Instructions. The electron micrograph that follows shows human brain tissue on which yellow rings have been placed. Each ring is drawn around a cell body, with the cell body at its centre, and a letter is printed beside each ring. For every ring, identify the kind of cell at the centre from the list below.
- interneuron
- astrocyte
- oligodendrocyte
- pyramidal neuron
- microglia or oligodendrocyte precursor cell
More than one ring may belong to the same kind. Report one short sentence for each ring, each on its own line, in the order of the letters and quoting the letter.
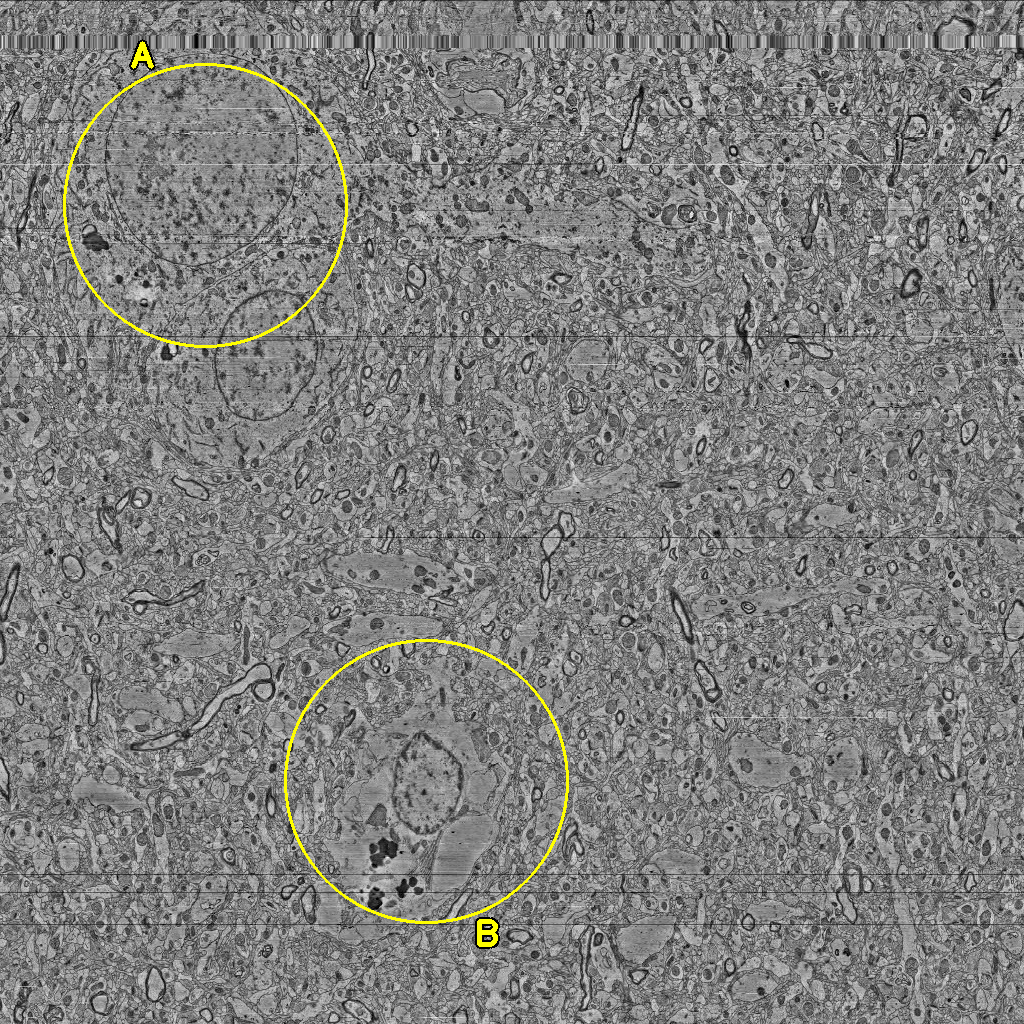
The centre of ring A is occupied by a pyramidal neuron.
The centre of ring B is occupied by an astrocyte.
